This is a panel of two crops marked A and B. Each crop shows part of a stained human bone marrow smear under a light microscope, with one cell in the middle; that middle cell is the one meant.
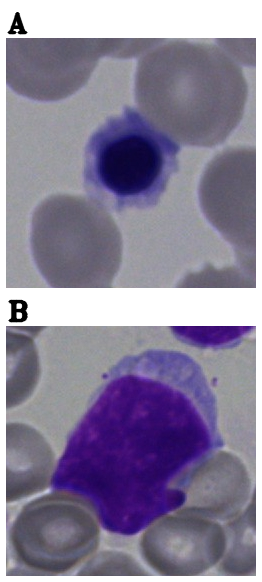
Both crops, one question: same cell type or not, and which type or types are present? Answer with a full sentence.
No, on this set crop A shows an erythroblast and crop B shows a blast.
